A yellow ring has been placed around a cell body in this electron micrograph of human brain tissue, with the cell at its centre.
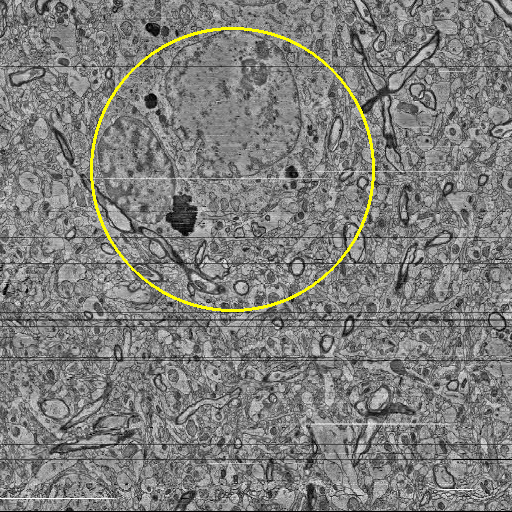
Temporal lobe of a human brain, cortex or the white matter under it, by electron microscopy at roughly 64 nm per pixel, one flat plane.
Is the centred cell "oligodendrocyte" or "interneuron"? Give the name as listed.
interneuron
